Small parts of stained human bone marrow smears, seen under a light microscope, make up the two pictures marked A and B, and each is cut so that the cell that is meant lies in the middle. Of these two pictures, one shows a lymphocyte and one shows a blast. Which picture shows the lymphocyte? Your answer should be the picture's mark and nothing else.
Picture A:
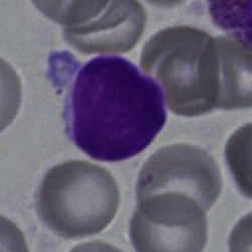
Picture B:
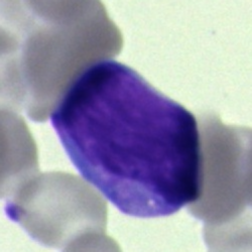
A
